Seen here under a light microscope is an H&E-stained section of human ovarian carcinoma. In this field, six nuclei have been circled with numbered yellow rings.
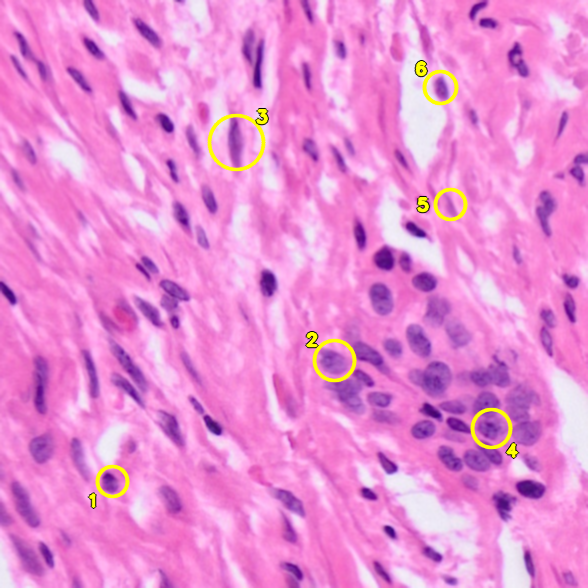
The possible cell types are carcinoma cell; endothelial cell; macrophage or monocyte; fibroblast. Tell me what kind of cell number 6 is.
fibroblast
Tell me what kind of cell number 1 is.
fibroblast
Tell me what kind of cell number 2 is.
carcinoma cell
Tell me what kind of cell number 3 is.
fibroblast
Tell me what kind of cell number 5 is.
fibroblast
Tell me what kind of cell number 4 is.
carcinoma cell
